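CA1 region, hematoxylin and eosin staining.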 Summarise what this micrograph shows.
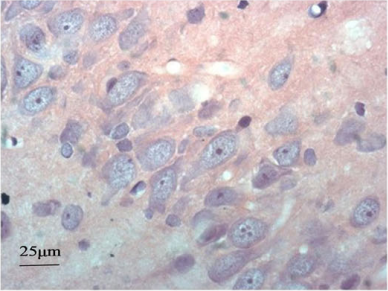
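This field of the hippocampus shows pyramidal cells with large, pale, oval nuclei and prominent nucleoli, spread across the pink neuropil. Unlike a tidy cell layer, the cell bodies lie irregularly, at different angles and distances, and vary in shape from rounded to elongated or angular. Smaller cells with darker, compact nuclei are mixed in among them. The surrounding neuropil stains pink, with a few small clear spaces.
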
